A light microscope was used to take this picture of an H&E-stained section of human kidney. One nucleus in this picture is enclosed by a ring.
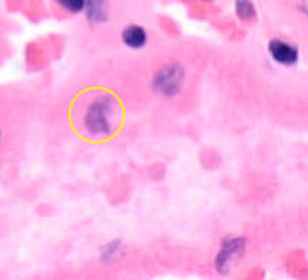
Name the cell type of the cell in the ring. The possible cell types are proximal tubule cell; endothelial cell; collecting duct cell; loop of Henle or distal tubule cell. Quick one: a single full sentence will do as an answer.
The identity of the cell in the ring: it is a proximal tubule cell.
